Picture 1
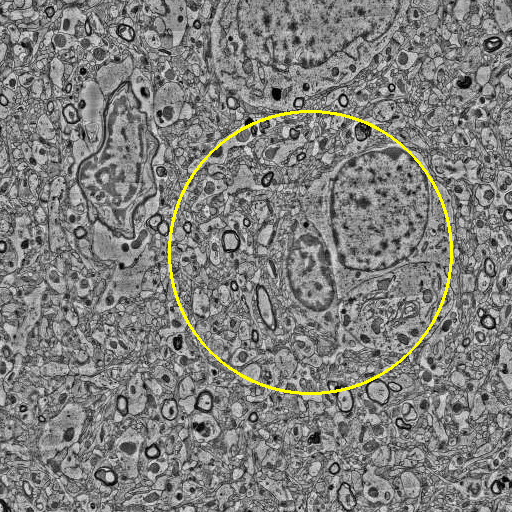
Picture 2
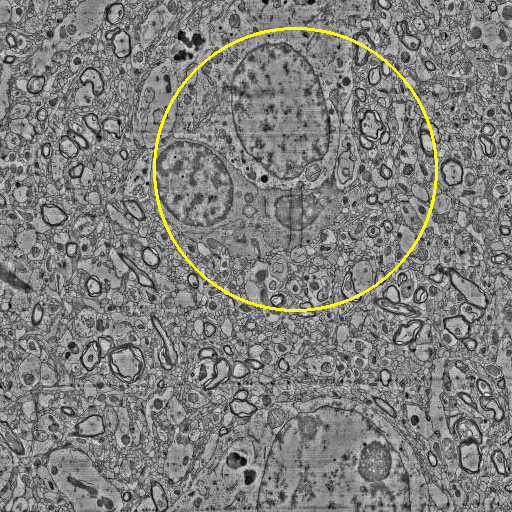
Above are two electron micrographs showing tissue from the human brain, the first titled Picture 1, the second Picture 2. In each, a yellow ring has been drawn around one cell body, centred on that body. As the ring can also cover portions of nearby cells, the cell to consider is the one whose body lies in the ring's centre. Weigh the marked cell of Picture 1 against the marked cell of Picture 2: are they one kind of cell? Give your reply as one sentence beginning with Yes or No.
Yes, the two cells sitting at the ring centres in the pictures are of one kind.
